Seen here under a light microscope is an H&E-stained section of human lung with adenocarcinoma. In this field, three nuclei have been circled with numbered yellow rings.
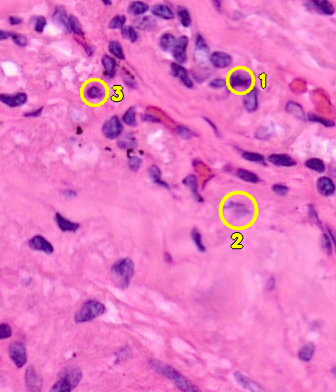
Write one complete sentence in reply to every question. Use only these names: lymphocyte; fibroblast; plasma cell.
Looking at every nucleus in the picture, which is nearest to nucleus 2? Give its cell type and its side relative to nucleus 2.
The nearest nucleus is that of a plasma cell and lies above nucleus 2.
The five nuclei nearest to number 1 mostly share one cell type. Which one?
Lymphocytes account for more than half of the five nuclei nearest to number 1.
